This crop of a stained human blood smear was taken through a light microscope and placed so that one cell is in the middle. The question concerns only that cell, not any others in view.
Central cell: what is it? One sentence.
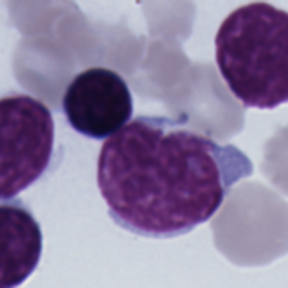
The cell at the middle of the crop is recognized as a blast.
